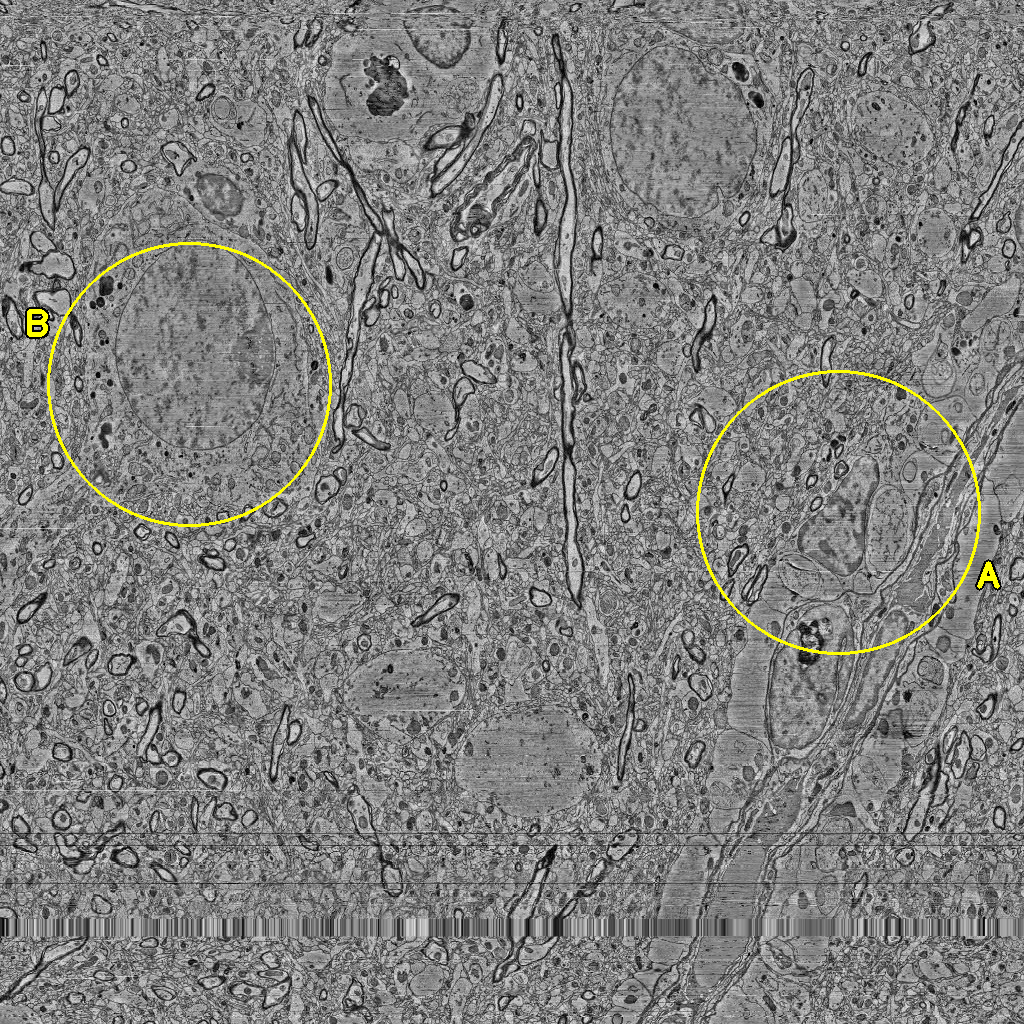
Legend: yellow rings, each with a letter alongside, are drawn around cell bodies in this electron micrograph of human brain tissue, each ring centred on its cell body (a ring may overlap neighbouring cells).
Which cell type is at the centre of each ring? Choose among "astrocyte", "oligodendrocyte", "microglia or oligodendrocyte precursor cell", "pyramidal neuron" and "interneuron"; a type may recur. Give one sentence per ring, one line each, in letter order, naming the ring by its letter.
Ring A has a microglial cell or oligodendrocyte precursor cell at its centre.
Ring B has a pyramidal neuron at its centre.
